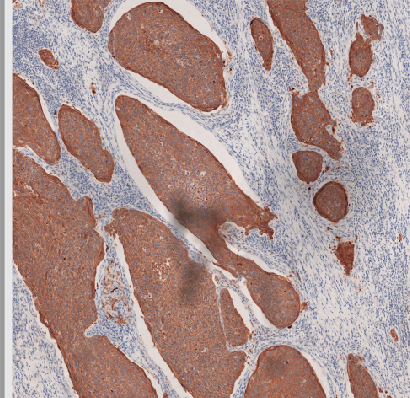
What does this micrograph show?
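The islands are separated by pale blue stroma with scattered small nuclei. A few narrow clefts run along the edges of the islands.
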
